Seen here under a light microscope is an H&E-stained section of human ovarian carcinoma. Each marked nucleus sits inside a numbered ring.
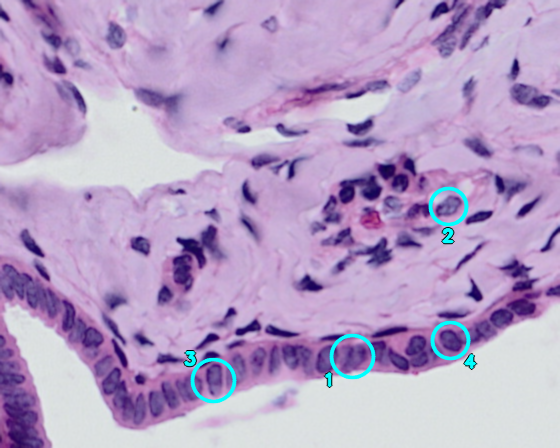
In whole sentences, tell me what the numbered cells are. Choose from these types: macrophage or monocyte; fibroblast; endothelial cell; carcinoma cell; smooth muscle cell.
Cells 1, 3 and 4 are carcinoma cells. Cell 2 is an endothelial cell.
